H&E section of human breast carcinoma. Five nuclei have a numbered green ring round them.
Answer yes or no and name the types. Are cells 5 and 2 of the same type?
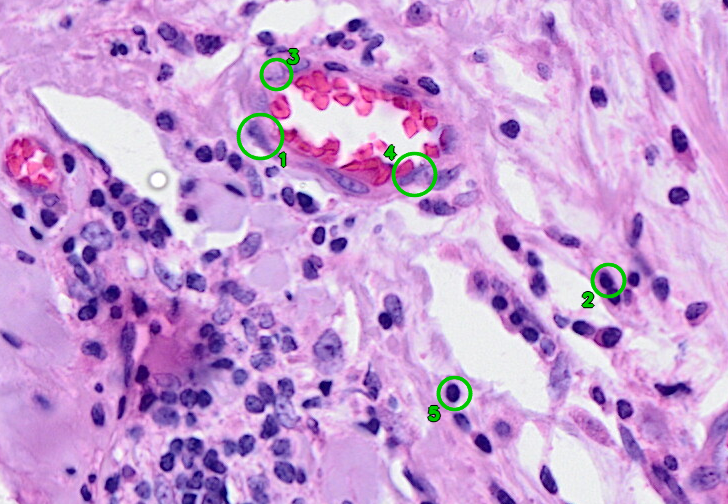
Yes, both are lymphocytes.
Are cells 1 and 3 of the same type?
Yes, both are endothelial cells.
